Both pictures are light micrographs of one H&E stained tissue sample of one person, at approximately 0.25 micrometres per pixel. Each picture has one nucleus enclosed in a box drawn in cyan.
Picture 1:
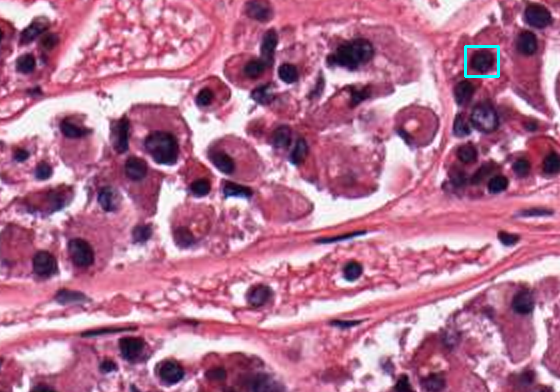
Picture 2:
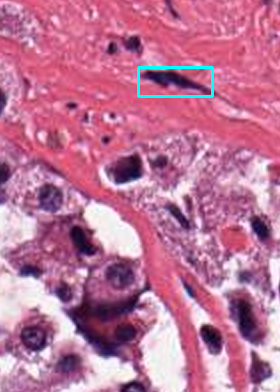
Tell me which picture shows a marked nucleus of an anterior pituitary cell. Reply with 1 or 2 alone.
1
